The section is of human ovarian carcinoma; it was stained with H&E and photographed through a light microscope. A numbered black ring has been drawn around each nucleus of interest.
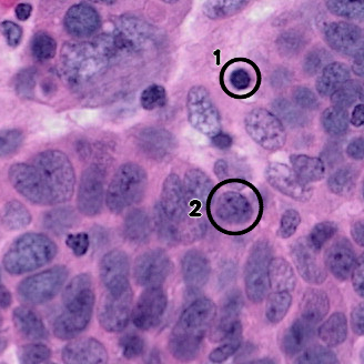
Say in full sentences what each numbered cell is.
Cell 1 is a lymphocyte and cell 2 is a carcinoma cell.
